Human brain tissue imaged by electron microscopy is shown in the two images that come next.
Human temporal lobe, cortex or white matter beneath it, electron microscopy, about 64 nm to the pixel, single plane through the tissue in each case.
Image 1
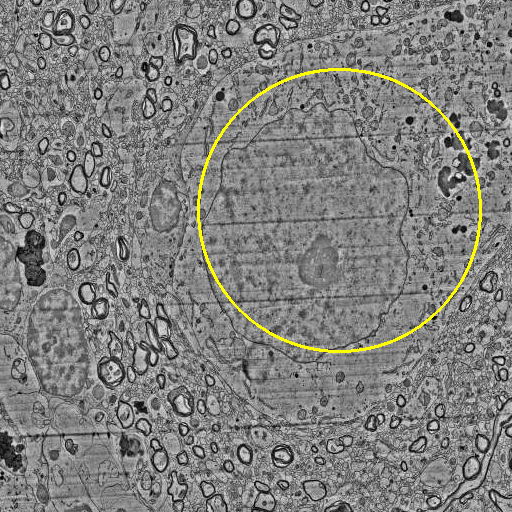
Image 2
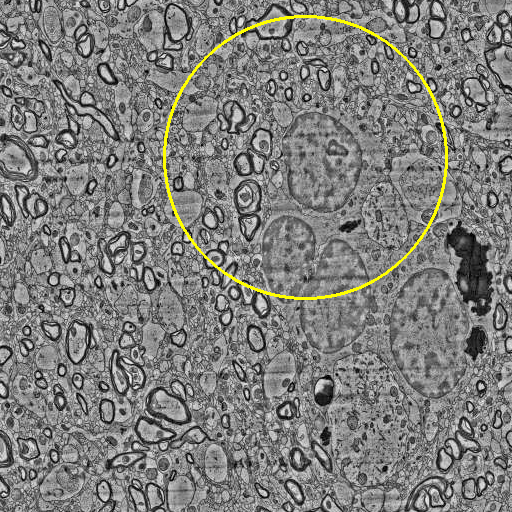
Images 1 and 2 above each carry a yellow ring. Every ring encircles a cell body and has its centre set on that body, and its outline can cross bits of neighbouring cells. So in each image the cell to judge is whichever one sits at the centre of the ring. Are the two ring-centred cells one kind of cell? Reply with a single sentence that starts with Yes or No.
No, in Image 1 and Image 2 the cells at the centres of their rings fall into two types.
